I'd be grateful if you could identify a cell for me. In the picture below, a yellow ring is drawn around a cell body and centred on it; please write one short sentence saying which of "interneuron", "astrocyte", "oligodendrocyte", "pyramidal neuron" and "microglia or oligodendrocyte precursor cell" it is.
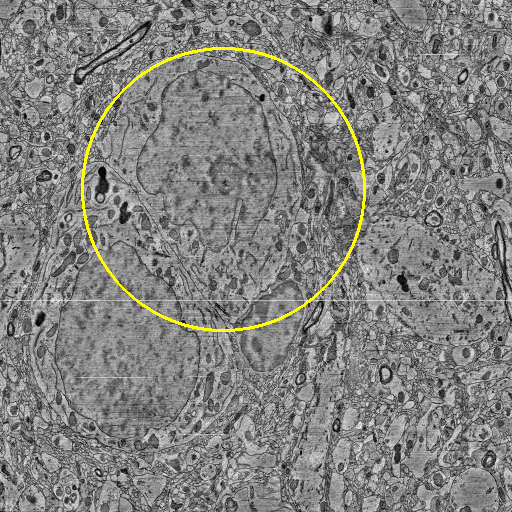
The cell under the ring's centre is an interneuron.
